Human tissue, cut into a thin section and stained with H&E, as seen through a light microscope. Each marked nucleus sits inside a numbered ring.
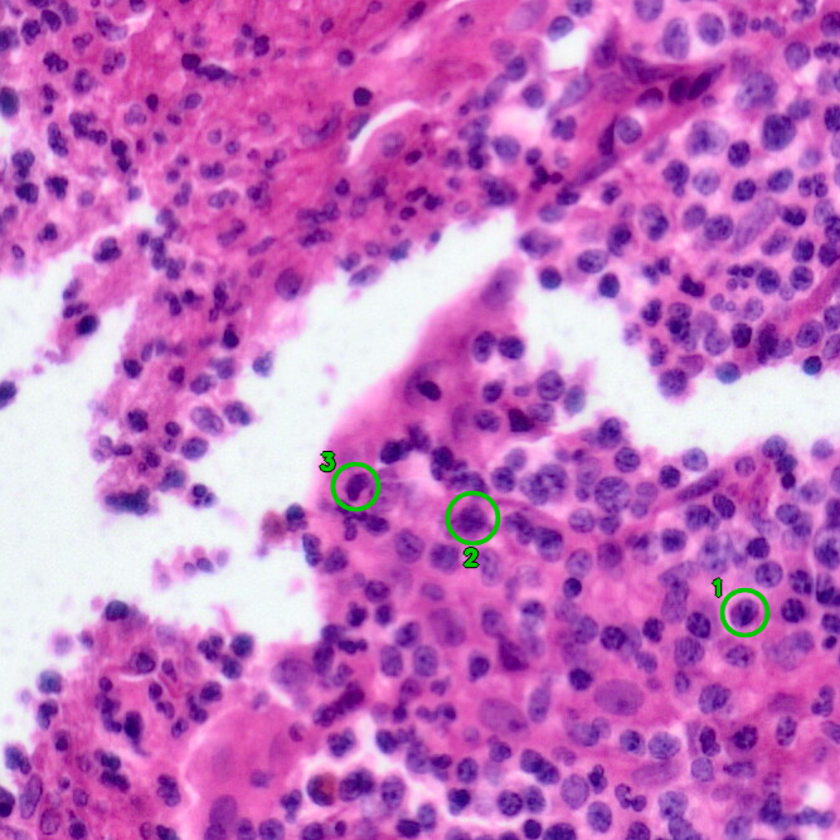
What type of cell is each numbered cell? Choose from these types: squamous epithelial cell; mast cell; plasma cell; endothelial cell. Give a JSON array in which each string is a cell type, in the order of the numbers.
["plasma cell", "squamous epithelial cell", "squamous epithelial cell"]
